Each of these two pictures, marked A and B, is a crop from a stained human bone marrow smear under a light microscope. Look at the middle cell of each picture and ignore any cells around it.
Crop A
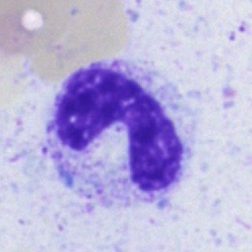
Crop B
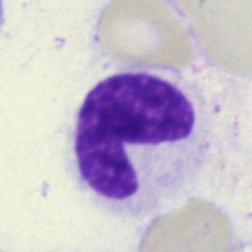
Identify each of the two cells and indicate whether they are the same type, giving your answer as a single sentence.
Yes, both crops, not just one, show band neutrophils.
